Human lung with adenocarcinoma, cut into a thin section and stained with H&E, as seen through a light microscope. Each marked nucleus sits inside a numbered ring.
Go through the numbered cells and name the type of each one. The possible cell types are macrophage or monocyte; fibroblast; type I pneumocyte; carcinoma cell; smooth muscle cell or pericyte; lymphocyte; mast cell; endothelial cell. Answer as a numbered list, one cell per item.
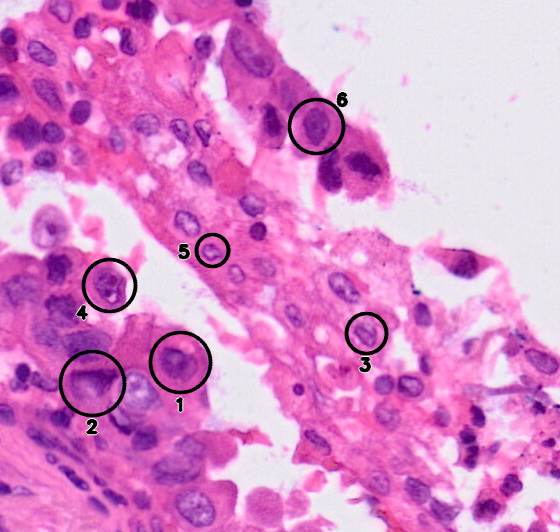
1. carcinoma cell
2. carcinoma cell
3. macrophage or monocyte
4. carcinoma cell
5. macrophage or monocyte
6. carcinoma cell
